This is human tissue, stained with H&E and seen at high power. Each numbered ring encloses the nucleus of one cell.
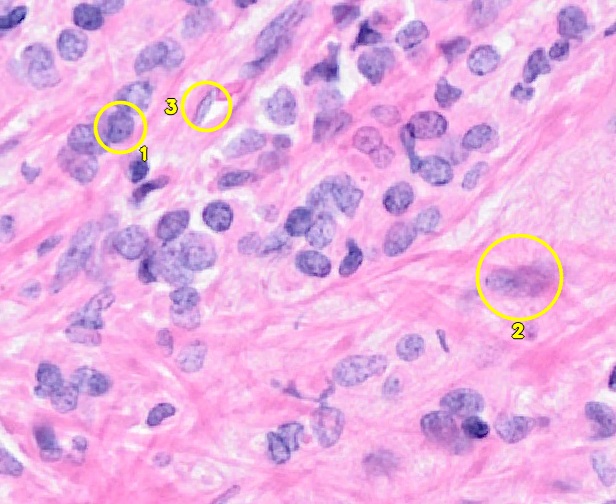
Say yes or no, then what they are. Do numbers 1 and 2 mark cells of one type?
No, cell 1 is a carcinoma cell, and cell 2, on the other hand, is a fibroblast.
